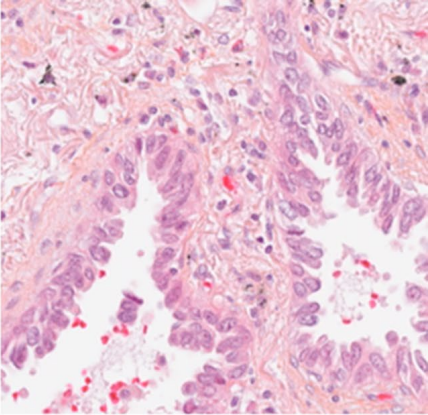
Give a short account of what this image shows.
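This is a glandular tumour in which tall columnar cells line open, branching lumens set in pink fibrous stroma. The lining cells have elongated, crowded nuclei that are enlarged and darker than normal and stand at various heights. Scattered red blood cells lie in the lumens and in the stroma, and small black pigment deposits are seen in the stroma. The gland-forming arrangement of atypical columnar cells around lumens fits an acinar adenocarcinoma.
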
